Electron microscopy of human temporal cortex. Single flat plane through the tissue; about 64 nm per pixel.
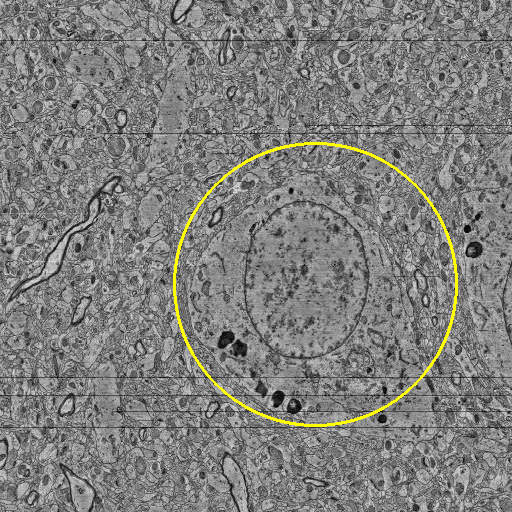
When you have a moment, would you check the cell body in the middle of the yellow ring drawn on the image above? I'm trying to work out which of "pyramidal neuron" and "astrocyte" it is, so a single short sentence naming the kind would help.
This cell body belongs to a pyramidal neuron.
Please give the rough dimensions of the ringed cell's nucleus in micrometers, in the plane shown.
The ringed cell's nucleus is about 10 micrometres long and 8 micrometres wide in this plane.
